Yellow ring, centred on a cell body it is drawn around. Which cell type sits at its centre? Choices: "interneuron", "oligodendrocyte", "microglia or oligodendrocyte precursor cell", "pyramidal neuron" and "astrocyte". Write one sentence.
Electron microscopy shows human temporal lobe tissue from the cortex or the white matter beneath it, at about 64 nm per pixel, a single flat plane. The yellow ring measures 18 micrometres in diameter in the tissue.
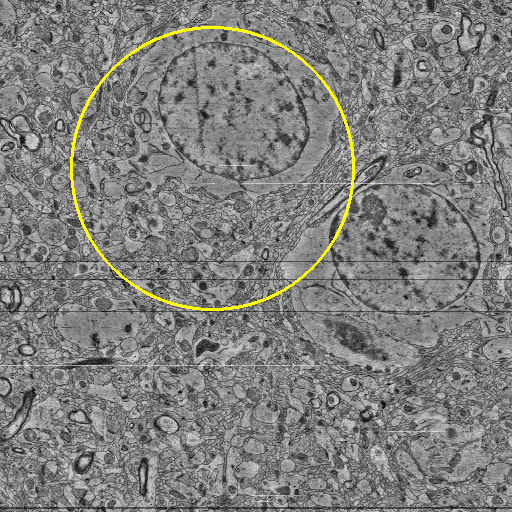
At the centre of the ring sits an astrocyte.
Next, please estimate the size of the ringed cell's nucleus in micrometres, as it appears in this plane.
Roughly 10 micrometres by 8 micrometres, in this plane.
